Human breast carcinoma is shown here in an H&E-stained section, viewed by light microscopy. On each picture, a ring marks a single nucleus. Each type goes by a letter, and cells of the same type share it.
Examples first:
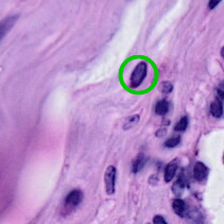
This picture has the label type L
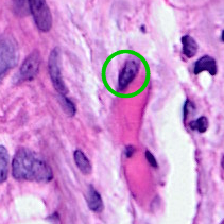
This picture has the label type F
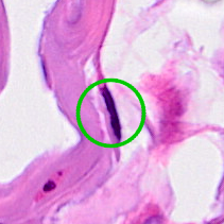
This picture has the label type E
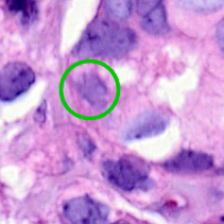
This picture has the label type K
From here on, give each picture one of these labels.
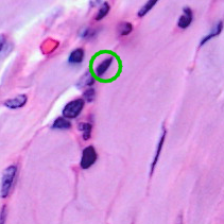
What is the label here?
type L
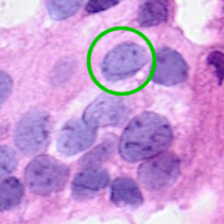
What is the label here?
type K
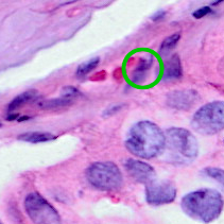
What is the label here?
type F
